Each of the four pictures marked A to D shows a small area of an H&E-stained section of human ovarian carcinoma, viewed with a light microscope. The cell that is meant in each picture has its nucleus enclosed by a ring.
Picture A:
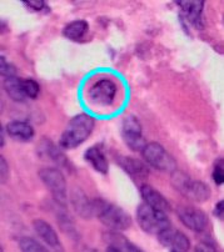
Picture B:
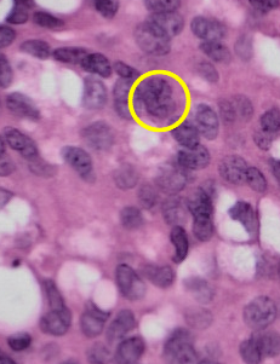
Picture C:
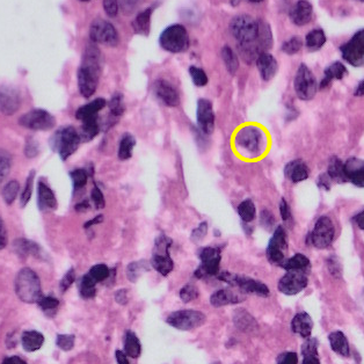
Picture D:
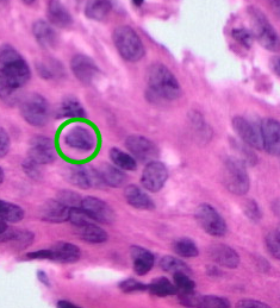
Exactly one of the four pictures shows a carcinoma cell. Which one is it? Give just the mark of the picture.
B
